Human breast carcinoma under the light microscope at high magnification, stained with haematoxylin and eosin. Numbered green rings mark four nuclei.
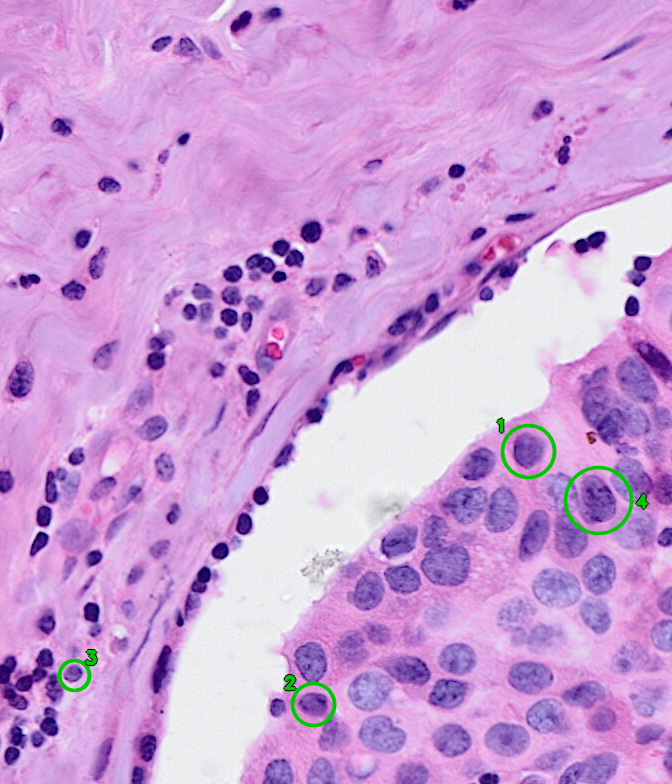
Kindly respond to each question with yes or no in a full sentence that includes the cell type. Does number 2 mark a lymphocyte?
No, number 2 corresponds to a carcinoma cell, not a lymphocyte.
